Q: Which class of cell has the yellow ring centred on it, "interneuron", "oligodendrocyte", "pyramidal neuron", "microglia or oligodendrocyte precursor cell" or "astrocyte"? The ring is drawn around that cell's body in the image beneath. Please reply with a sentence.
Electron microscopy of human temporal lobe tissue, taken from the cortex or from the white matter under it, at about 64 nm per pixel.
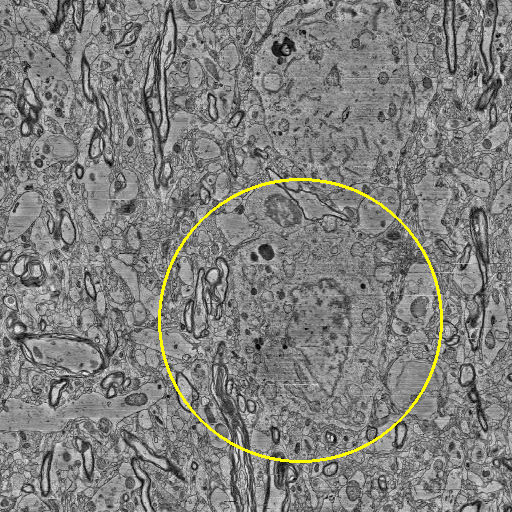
It is centred on an interneuron.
